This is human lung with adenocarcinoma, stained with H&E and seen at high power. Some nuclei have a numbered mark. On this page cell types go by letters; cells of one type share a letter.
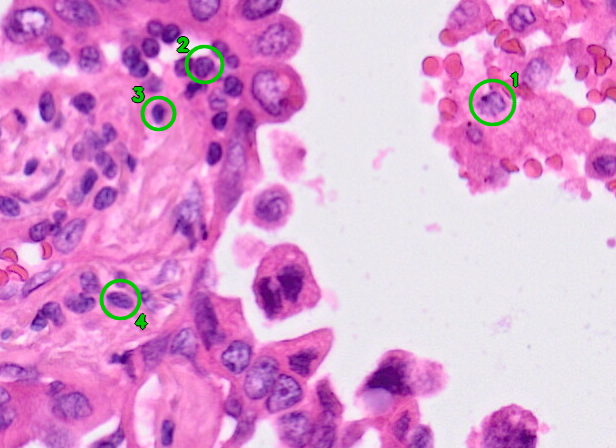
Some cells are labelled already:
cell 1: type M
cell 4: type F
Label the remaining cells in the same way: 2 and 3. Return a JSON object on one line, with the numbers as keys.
{"2": "type F", "3": "type F"}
